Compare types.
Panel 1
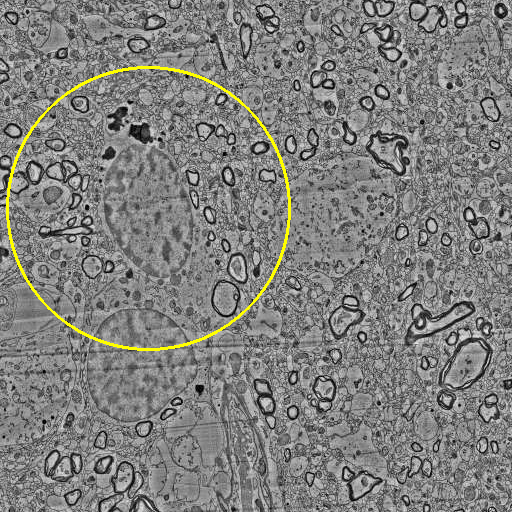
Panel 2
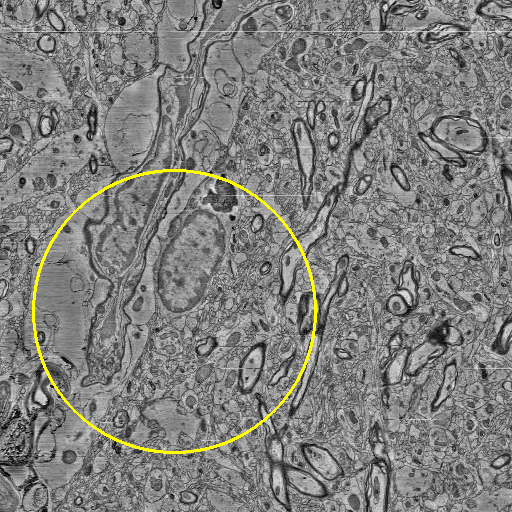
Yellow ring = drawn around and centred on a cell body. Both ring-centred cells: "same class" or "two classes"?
same class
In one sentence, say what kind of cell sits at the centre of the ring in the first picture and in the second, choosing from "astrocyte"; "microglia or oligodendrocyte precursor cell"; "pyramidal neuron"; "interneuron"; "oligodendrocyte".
In both pictures the ring is centred on an oligodendrocyte.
